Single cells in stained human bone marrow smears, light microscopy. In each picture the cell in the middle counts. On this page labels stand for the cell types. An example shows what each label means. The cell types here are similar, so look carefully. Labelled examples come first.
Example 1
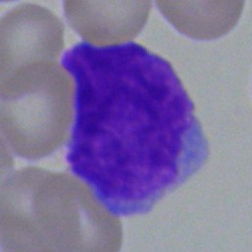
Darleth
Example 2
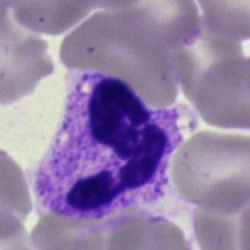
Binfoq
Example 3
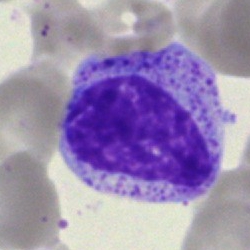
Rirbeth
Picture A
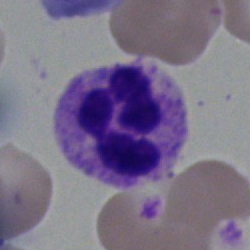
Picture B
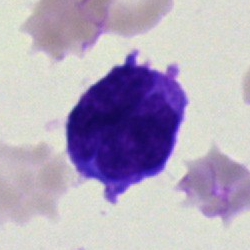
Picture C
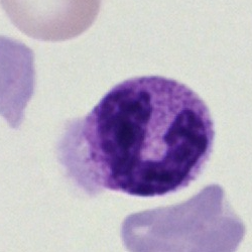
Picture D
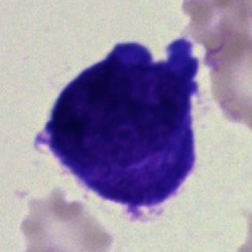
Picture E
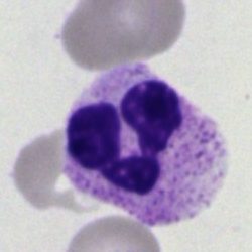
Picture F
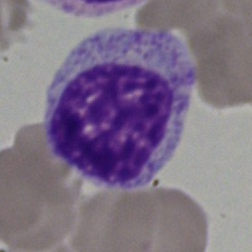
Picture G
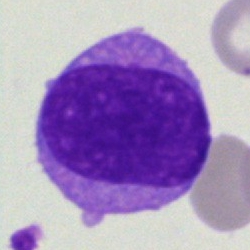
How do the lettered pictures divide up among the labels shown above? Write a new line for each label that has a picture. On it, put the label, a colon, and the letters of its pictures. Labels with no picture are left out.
Darleth: B, D, G
Binfoq: A, C, E
Rirbeth: F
